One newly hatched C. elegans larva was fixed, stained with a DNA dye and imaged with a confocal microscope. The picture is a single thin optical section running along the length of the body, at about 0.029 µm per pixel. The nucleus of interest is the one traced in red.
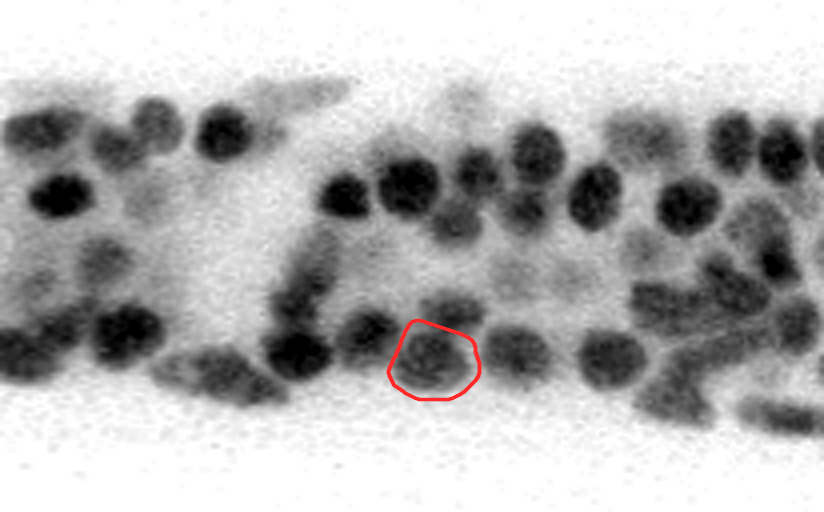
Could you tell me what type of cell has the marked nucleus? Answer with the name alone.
neuron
